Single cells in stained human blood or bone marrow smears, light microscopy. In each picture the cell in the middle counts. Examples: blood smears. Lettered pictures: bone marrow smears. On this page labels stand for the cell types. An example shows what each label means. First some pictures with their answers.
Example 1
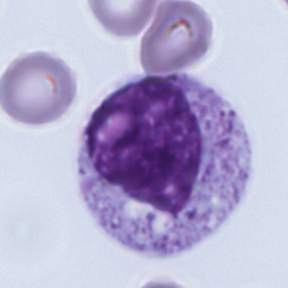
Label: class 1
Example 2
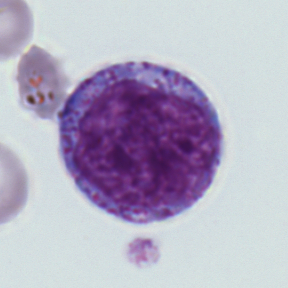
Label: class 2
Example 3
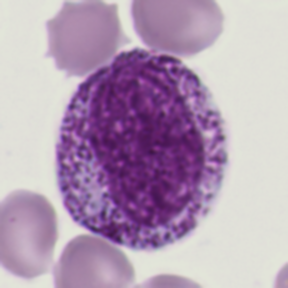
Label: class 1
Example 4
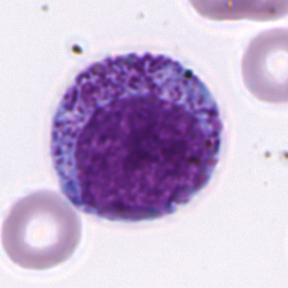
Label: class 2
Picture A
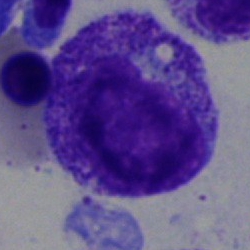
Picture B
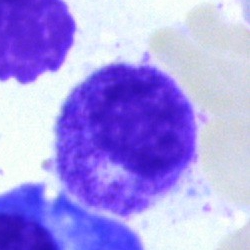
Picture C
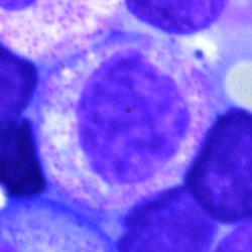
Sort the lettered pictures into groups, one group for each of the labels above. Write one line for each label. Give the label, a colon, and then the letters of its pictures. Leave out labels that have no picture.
class 1: A, B, C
